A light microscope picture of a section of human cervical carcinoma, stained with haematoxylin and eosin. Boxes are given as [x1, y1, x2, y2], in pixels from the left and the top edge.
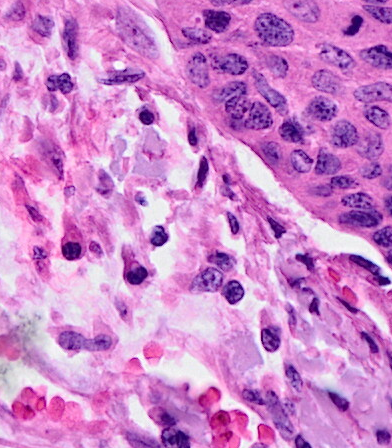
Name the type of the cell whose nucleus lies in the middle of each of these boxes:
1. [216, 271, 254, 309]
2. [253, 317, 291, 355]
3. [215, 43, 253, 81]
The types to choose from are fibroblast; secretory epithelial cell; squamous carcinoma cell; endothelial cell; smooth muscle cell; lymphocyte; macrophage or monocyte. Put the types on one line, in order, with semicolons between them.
lymphocyte; macrophage or monocyte; squamous carcinoma cell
